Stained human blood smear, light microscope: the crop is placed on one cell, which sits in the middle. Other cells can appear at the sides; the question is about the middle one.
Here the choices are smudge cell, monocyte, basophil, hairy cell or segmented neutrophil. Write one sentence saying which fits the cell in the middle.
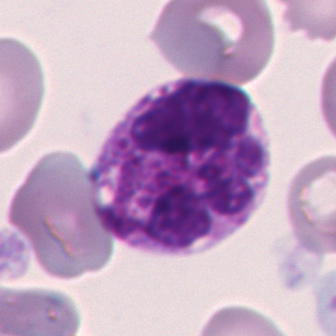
Standing at the centre of this crop is a basophil.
